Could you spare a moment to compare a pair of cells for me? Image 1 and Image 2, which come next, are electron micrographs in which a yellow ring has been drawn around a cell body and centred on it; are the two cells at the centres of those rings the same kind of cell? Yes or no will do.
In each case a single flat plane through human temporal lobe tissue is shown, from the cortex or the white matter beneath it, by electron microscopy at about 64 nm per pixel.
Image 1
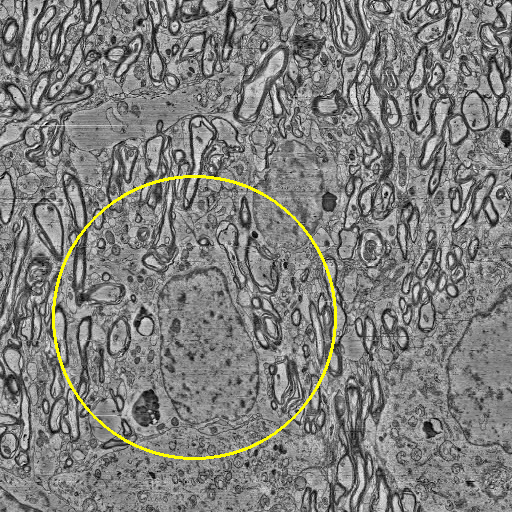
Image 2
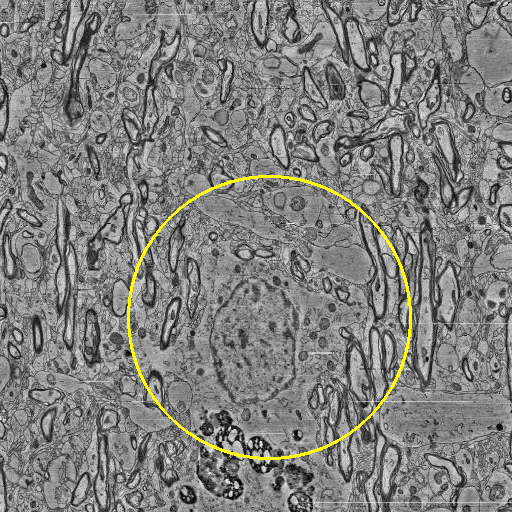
yes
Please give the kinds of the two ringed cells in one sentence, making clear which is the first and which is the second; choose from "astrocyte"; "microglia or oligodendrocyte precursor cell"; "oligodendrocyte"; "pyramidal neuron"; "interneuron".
In each picture the ringed cell is an astrocyte.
